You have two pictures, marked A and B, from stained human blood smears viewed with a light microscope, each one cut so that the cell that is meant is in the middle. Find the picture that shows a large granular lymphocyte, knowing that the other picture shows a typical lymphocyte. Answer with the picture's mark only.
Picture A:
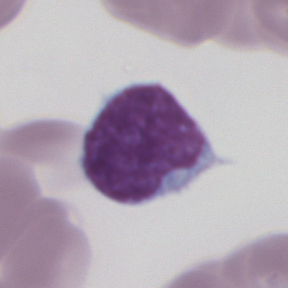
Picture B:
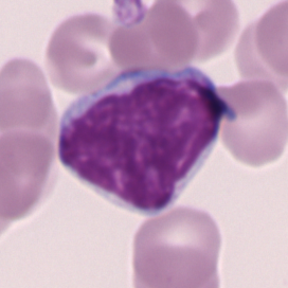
B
